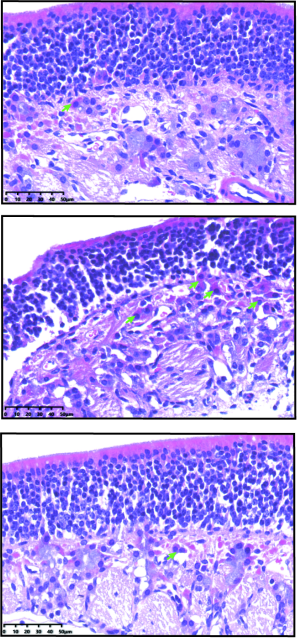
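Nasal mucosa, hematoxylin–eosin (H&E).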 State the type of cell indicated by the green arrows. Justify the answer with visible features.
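Eosinophils. The arrows point to single cells in the connective tissue beneath the epithelium. The marked cells have pink cytoplasm.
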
